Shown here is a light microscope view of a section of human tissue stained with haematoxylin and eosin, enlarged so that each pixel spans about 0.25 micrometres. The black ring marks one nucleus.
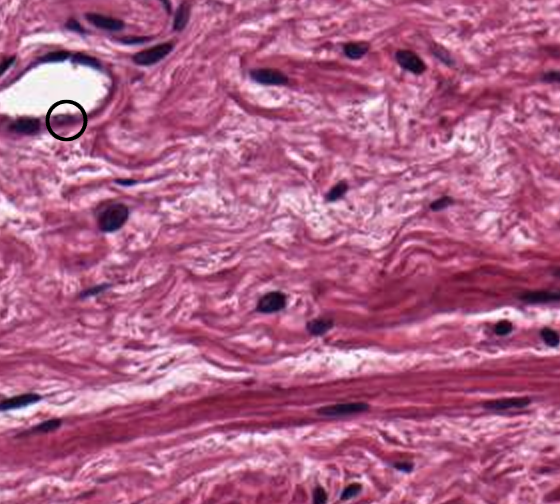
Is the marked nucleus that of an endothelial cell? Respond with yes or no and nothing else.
yes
